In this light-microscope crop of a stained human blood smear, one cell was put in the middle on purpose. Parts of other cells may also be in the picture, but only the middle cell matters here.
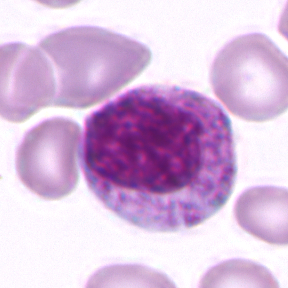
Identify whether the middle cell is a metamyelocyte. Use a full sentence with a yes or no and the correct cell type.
No, the centre cell counts as a myelocyte, not as a metamyelocyte.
